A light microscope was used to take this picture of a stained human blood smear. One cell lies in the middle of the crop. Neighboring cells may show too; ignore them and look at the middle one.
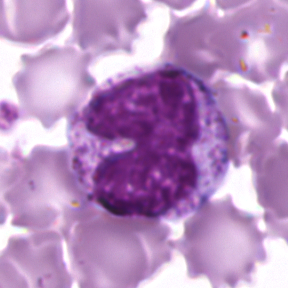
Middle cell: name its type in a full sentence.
At the middle of the frame sits a band neutrophil.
